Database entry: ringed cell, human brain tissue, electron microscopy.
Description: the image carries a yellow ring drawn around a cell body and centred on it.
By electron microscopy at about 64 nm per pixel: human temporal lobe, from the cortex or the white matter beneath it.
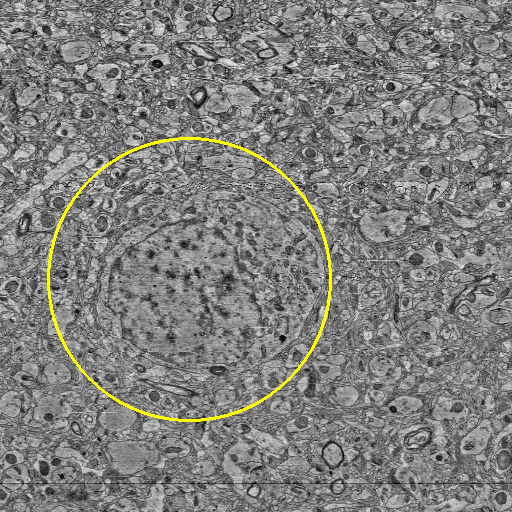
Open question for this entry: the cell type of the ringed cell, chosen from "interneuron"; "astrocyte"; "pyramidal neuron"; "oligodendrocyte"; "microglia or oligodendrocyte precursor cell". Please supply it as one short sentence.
The ringed cell is an interneuron.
